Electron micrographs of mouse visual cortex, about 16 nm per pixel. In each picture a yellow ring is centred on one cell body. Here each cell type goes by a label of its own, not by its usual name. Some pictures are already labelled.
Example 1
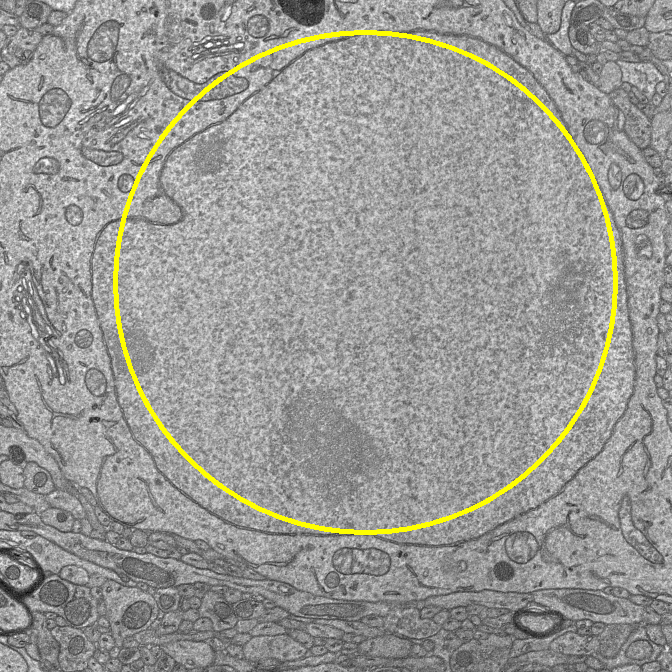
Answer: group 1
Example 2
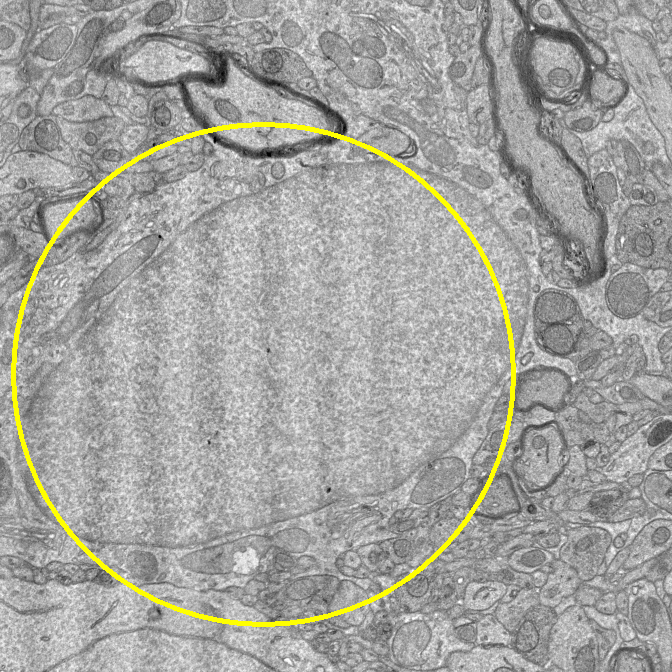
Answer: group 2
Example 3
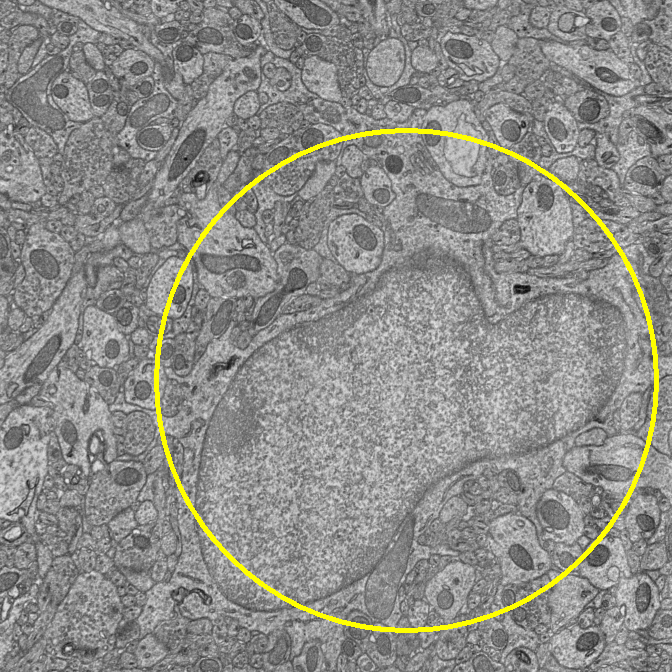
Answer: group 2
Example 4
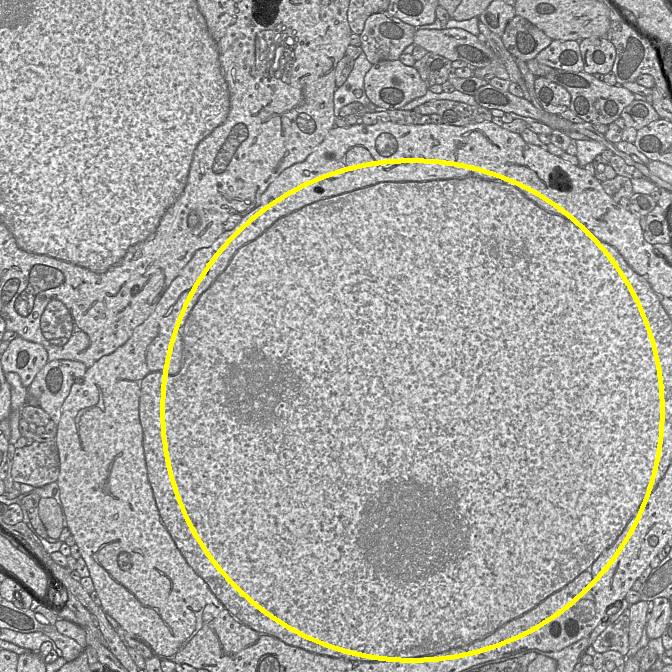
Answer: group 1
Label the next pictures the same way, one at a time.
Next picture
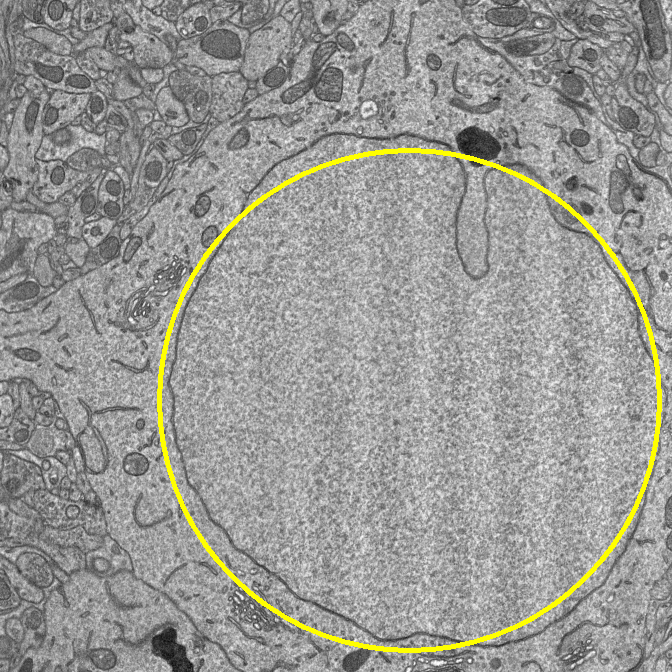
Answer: group 1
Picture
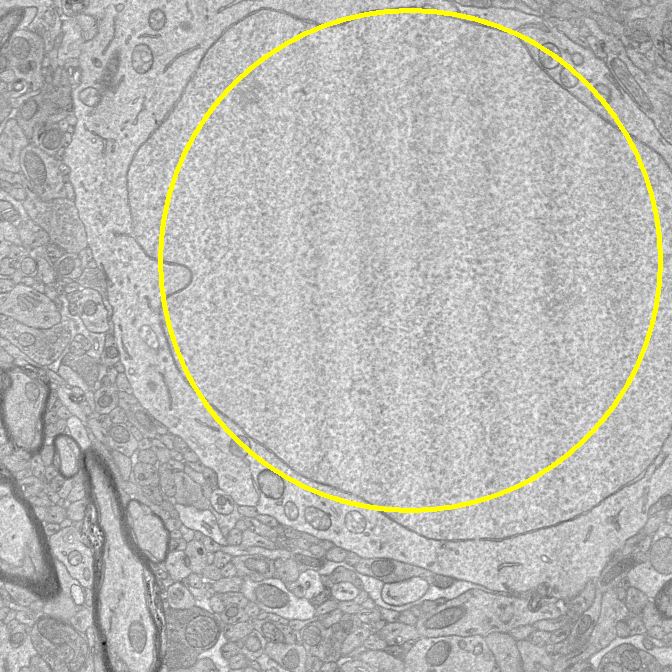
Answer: group 1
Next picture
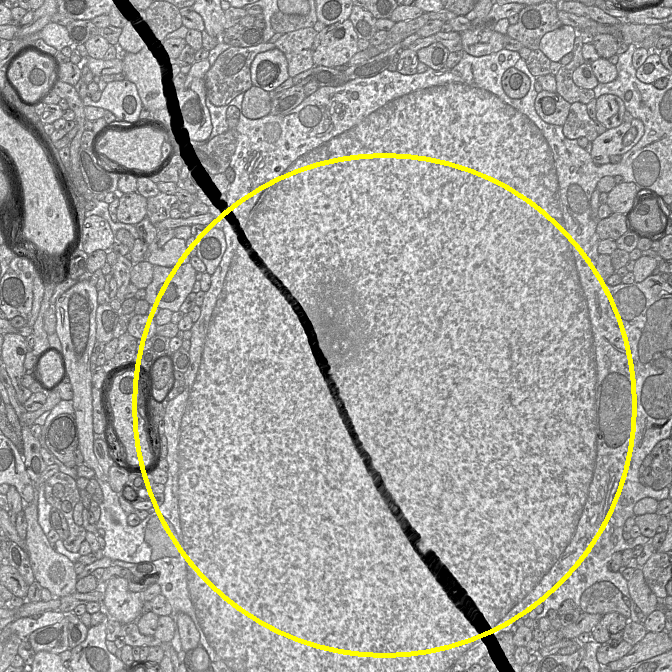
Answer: group 2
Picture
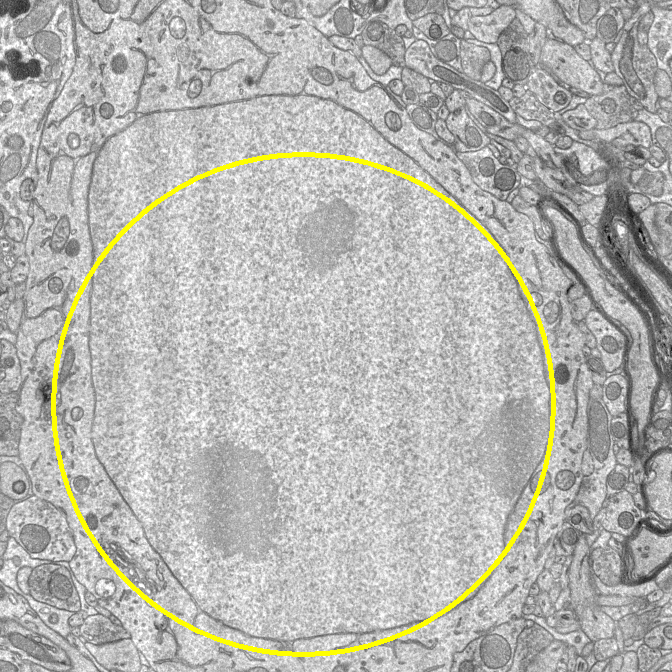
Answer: group 1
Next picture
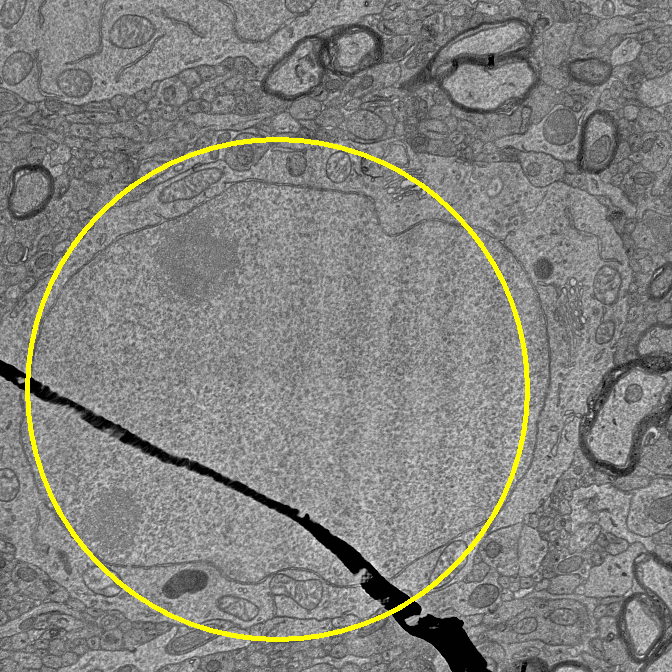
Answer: group 1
